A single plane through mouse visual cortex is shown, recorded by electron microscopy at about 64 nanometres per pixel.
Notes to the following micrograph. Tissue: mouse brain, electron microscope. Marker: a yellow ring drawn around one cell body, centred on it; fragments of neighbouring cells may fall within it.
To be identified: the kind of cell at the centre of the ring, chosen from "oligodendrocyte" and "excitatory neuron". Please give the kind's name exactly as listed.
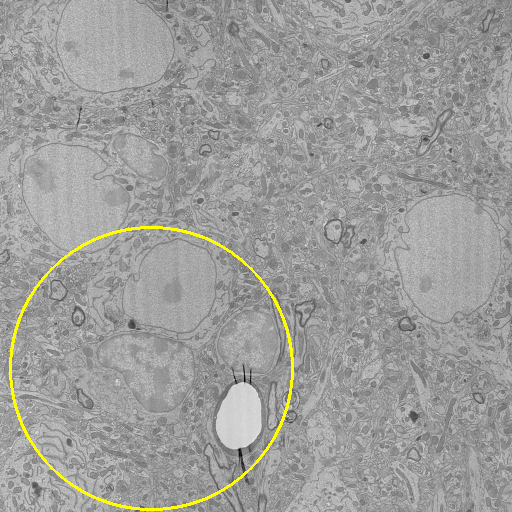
oligodendrocyte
